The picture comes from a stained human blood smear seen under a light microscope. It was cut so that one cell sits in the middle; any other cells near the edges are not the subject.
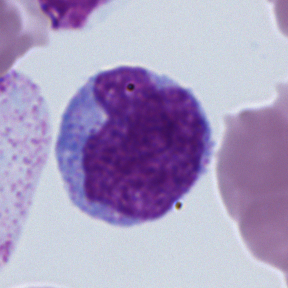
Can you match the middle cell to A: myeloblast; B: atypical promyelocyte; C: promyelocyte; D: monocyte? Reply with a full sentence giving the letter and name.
In the middle of the crop is a monocyte; option D is therefore correct.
